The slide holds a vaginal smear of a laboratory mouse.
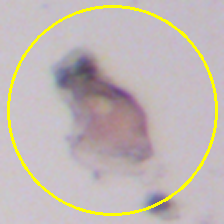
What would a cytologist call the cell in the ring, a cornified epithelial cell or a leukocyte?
A cytologist would call it a cornified epithelial cell.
